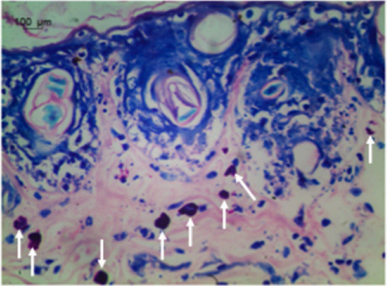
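This is a section of skin with mast cells scattered through the dermis. The top carries a blue-stained surface epithelium, and below it several hair follicles are cut across, their walls packed with blue nuclei. Deeper down, the dermis is pale pink fibrous connective tissue dotted with small blue nuclei. Among these lie numerous plump, round to oval cells stained a dense dark purple, standing out clearly from the blue nuclei and pink fibres. They gather mostly in the band of dermis just beneath the follicles, some singly and some in small groups of two or three.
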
